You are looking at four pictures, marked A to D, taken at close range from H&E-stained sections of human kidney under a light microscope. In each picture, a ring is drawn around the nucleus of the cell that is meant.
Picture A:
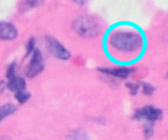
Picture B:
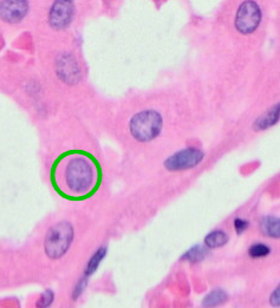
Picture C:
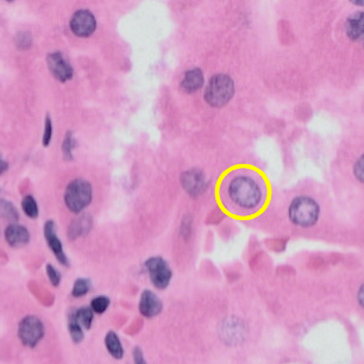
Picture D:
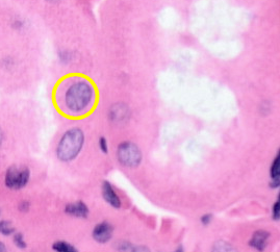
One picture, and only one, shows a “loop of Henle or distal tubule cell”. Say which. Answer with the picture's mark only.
A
